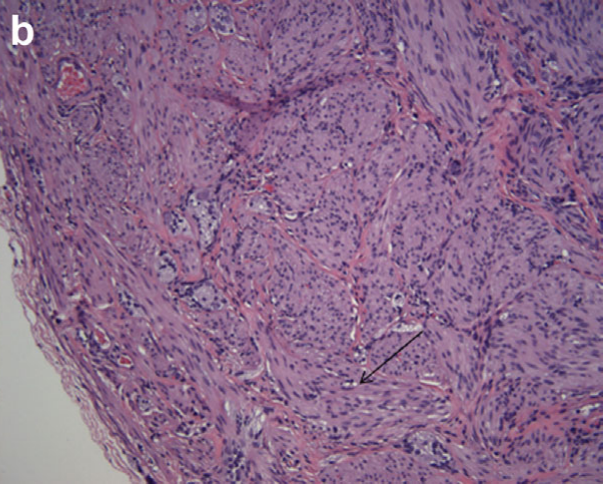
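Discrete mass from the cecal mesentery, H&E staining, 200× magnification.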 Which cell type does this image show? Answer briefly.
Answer: ganglion cells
